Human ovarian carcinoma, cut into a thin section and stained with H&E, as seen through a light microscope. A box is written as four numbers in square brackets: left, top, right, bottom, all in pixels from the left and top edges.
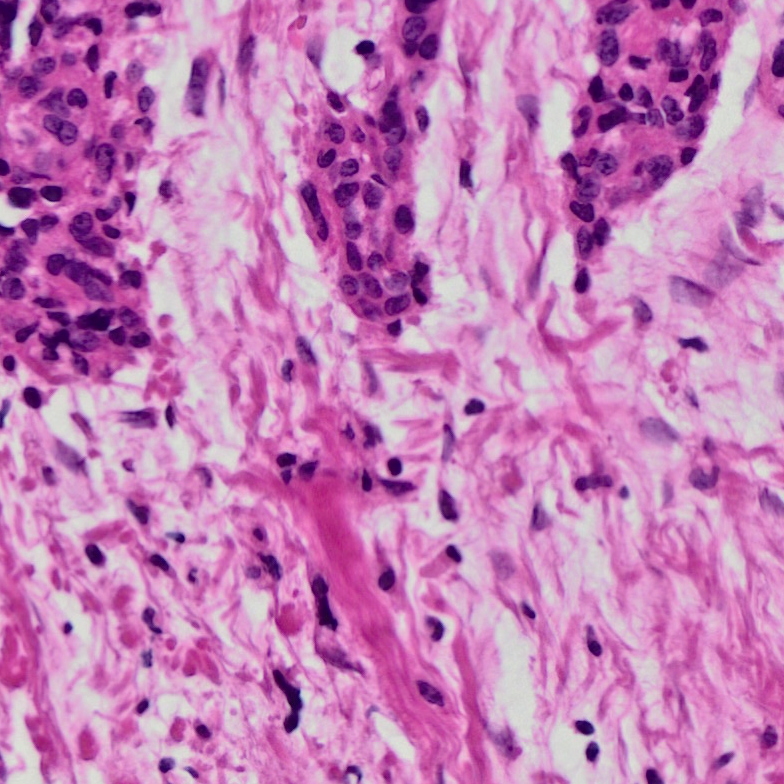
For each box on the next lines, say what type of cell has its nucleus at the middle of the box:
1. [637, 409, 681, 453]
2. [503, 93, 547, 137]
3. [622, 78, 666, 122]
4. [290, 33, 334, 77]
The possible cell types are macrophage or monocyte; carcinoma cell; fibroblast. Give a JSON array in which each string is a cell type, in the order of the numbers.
["fibroblast", "fibroblast", "carcinoma cell", "fibroblast"]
